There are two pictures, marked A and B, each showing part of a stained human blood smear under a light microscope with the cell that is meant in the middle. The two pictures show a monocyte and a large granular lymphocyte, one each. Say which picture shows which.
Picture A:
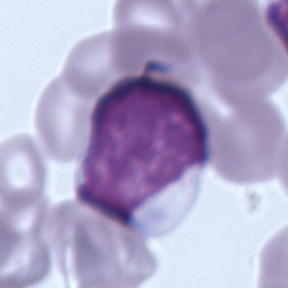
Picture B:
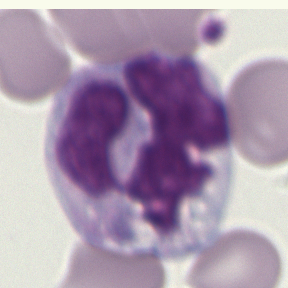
A: large granular lymphocyte
B: monocyte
